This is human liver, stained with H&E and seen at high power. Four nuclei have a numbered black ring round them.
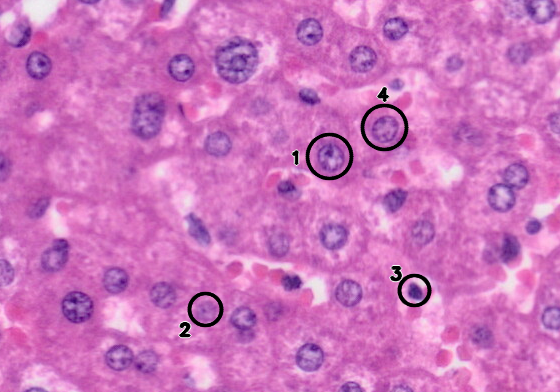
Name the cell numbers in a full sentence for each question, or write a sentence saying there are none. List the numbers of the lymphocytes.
Only number 3 of the marked cells is a lymphocyte.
